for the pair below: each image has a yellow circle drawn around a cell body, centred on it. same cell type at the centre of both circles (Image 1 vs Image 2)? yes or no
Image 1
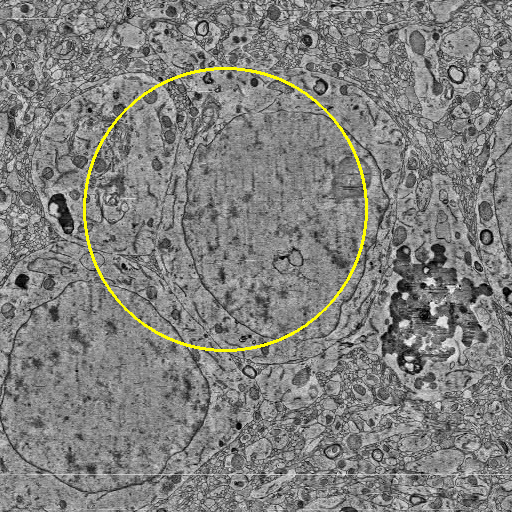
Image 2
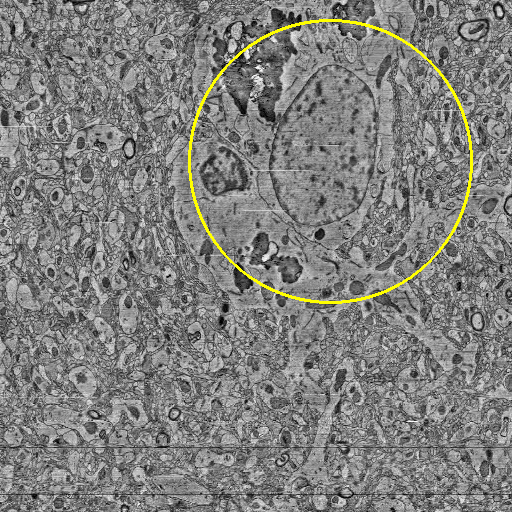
no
